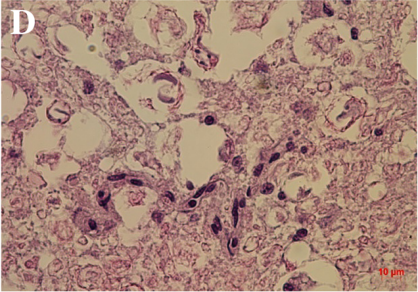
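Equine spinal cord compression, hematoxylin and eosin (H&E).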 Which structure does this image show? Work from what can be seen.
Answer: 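Digestive chambers. Large clear round spaces sit in the pink tissue. Some spaces contain rounded pale cells or debris. Tissue between the spaces is loose and spongy.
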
